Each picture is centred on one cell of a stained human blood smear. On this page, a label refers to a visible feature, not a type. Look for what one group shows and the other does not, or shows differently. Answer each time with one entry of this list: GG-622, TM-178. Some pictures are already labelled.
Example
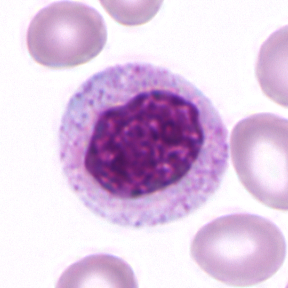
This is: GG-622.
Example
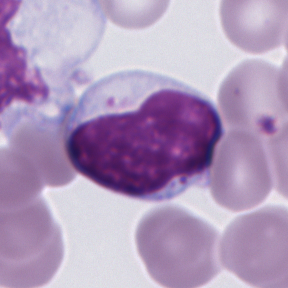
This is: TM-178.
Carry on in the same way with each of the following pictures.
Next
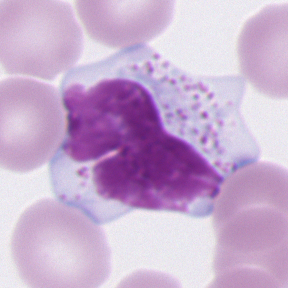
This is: GG-622.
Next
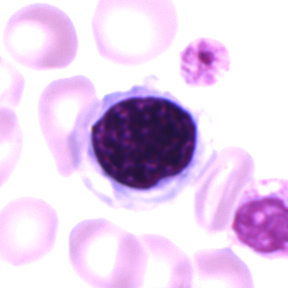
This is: TM-178.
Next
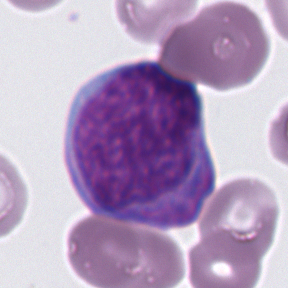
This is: TM-178.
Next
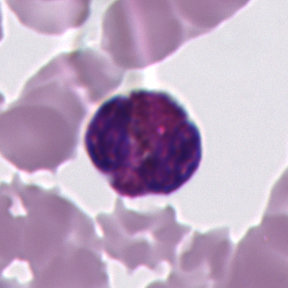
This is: TM-178.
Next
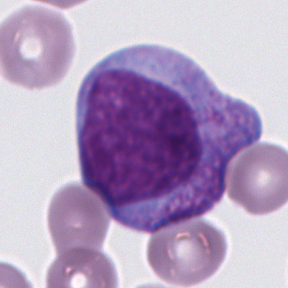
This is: GG-622.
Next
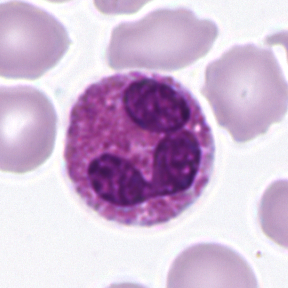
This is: GG-622.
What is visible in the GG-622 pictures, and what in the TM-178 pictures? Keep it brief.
In GG-622: abundant cytoplasm. In TM-178: scant cytoplasm.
